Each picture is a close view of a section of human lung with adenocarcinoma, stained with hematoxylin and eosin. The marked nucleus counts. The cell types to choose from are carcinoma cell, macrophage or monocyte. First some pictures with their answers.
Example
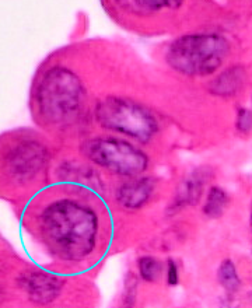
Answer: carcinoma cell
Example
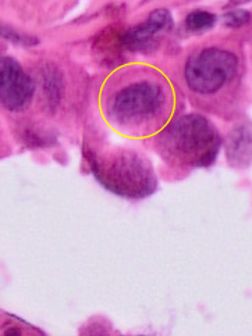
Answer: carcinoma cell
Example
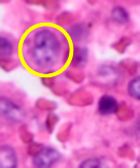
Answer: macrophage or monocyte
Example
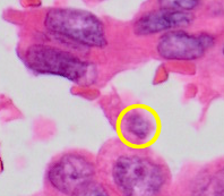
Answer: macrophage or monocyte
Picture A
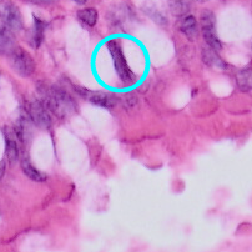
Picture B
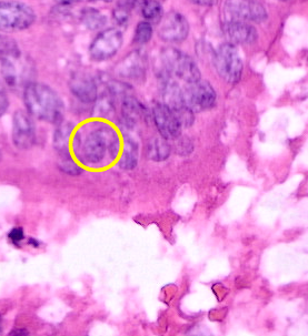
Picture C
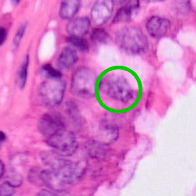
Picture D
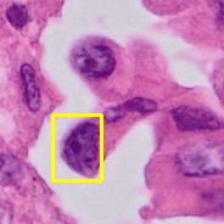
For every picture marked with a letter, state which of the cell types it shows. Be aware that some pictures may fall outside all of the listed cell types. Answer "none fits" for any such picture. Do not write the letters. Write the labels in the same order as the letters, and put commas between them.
none fits, none fits, none fits, carcinoma cell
